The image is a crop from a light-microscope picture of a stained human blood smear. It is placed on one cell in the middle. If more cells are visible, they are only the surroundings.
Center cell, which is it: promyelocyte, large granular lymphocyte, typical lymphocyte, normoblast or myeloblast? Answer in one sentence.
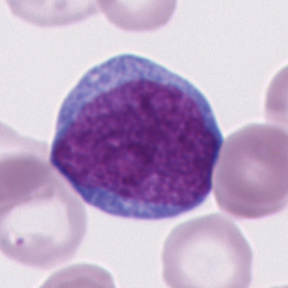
The middle cell in this particular crop is a myeloblast.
